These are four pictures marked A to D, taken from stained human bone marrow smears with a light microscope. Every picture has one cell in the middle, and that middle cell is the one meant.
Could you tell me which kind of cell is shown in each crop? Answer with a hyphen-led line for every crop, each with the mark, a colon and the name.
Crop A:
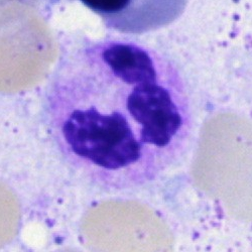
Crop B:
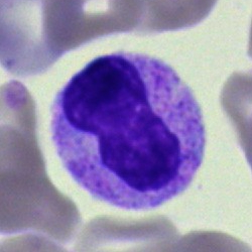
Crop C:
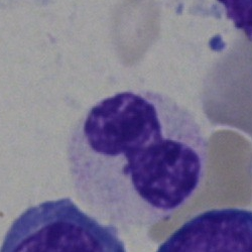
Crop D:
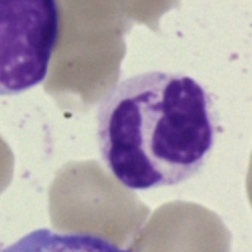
- A: segmented neutrophil
- B: band neutrophil
- C: band neutrophil
- D: segmented neutrophil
